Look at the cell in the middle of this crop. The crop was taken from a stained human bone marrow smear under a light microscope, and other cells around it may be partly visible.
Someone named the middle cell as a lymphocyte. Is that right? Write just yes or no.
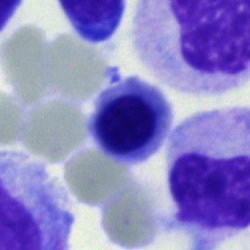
no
